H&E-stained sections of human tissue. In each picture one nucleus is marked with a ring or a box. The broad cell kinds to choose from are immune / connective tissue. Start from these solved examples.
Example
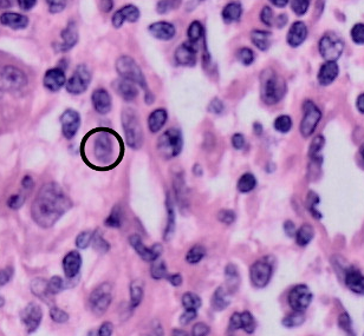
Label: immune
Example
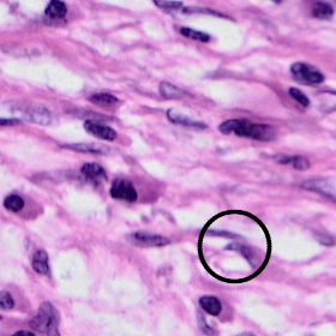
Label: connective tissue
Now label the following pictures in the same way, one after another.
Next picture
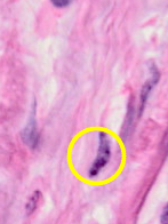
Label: connective tissue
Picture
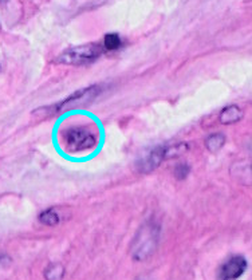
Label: immune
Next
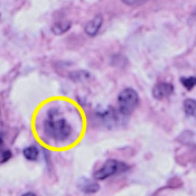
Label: immune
